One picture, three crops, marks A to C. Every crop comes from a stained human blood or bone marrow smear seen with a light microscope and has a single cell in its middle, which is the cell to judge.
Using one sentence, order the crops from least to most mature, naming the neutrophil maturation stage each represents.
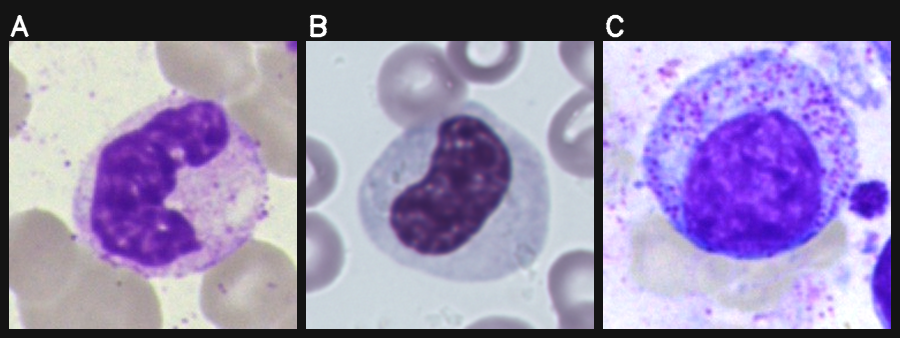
From earliest to most mature stage, the crops go crop C (a myelocyte), crop B (a band neutrophil) and crop A (a segmented neutrophil).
